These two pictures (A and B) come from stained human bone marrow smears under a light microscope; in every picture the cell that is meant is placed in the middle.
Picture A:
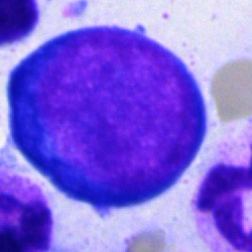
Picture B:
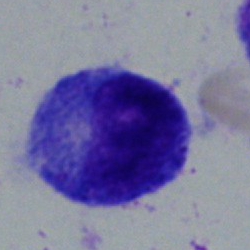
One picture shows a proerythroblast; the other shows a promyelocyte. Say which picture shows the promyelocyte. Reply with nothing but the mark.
B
